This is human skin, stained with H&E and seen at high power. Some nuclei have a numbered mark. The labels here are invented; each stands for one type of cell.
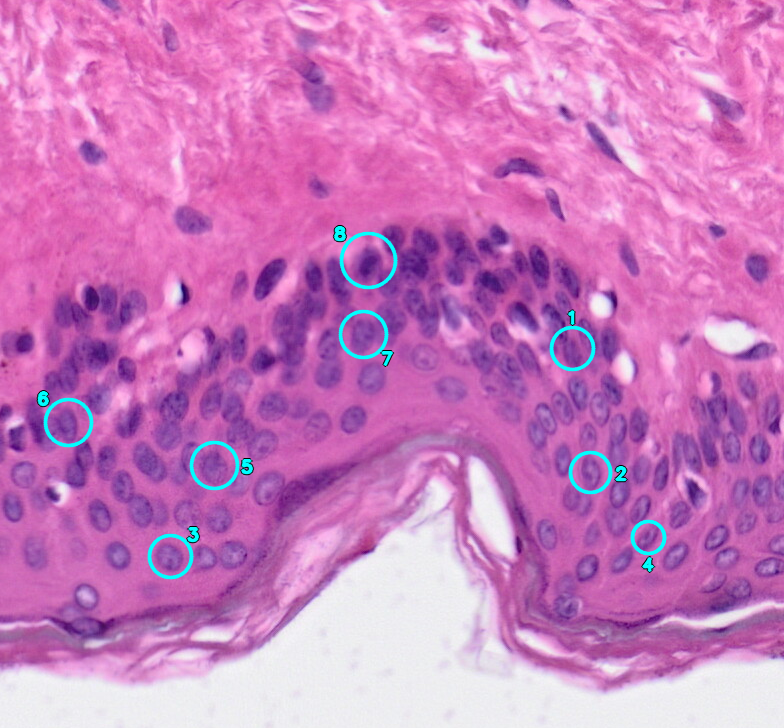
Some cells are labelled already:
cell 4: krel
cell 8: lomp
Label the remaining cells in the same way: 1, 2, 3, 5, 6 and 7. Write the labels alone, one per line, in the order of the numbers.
lomp
krel
krel
krel
lomp
krel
